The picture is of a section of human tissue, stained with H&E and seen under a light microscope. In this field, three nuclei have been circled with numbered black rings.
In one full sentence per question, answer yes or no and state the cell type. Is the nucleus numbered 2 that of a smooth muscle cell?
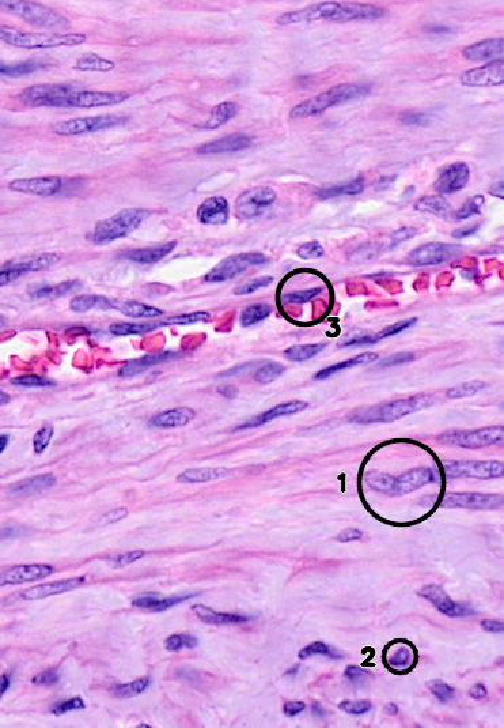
Yes, in this section the cell with number 2 is a smooth muscle cell.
